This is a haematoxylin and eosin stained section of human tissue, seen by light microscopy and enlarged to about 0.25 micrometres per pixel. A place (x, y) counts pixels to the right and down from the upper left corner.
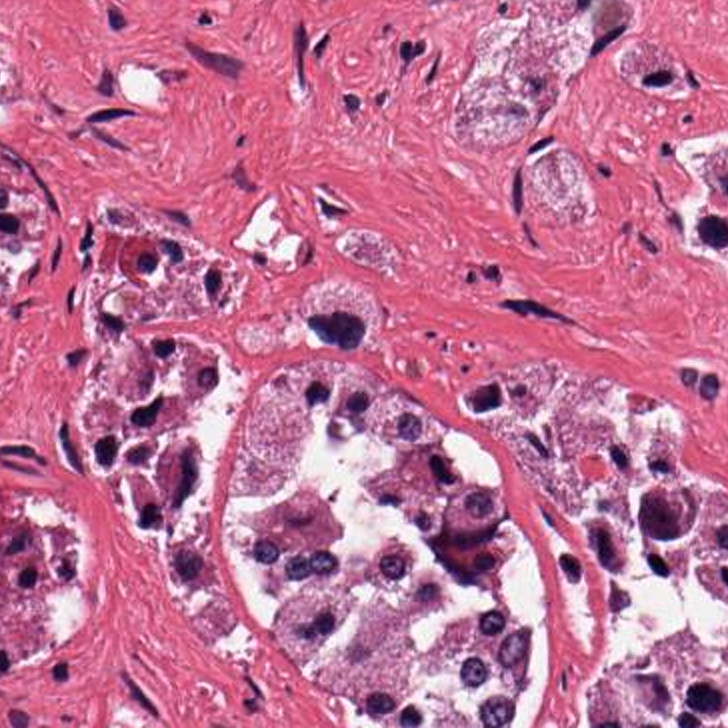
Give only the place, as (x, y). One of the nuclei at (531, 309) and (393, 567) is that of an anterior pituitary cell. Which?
(393, 567)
